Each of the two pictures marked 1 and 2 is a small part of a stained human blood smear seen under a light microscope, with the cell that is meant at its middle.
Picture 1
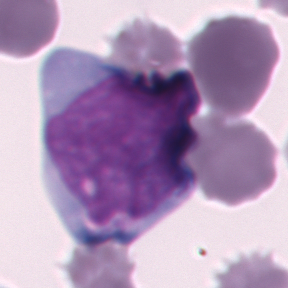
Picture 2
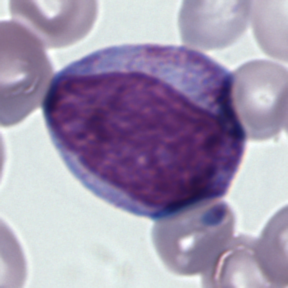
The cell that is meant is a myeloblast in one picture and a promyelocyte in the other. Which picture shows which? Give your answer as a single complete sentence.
In picture 1 the cell is a myeloblast; in picture 2, a promyelocyte.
